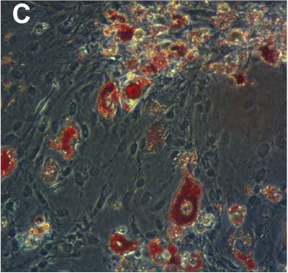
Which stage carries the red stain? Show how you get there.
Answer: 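Several cells hold many small red-stained droplets in their cytoplasm. Red-filled cells lie among spindle-shaped unstained cells.
Answer: adipogenic induction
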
